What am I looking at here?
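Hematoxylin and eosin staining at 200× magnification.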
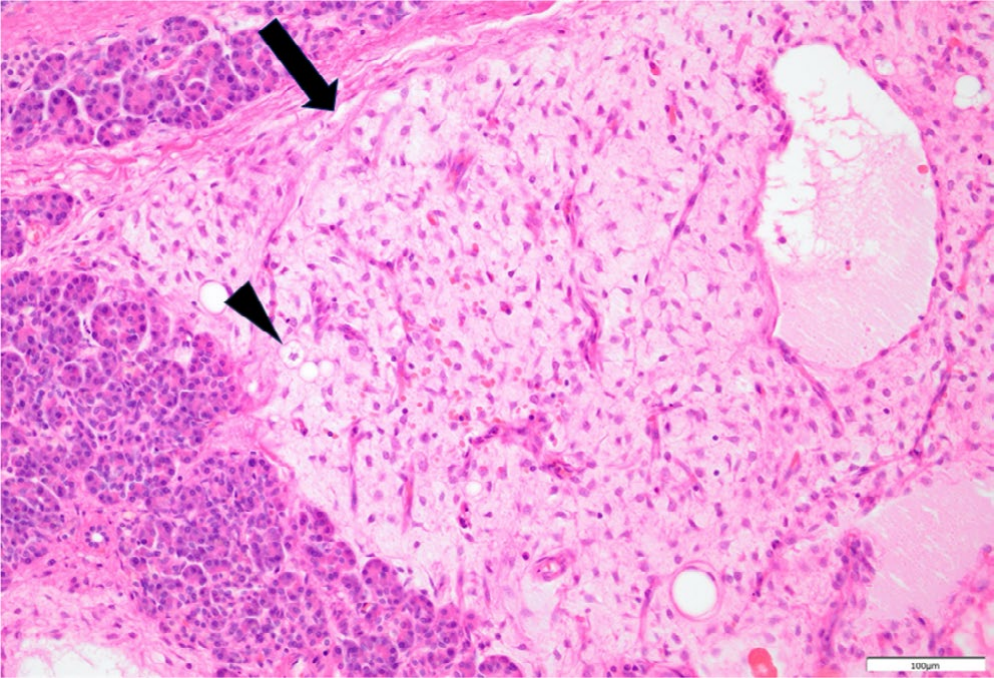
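This field shows a lesion made of round-to-stellate atypical cells lying scattered in a pale, loose myxoid stroma, which pushes in against pancreatic parenchyma. The parenchyma at the left and upper left is dense and purple, with acini of cells that have dark nuclei. The lesion's cells have small dark oval to elongated nuclei and wispy pale cytoplasm, and thin-walled vessels branch through them. Near the border with the glandular tissue, a few lipoblasts can be seen as cells holding clear, round vacuoles.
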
